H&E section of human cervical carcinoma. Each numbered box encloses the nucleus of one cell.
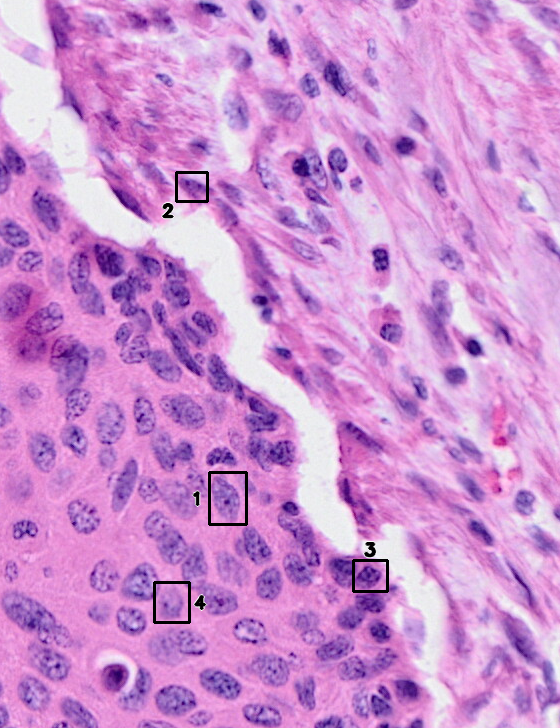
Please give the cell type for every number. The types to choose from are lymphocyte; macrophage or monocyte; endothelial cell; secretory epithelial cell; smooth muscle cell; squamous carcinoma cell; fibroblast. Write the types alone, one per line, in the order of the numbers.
squamous carcinoma cell
fibroblast
squamous carcinoma cell
squamous carcinoma cell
